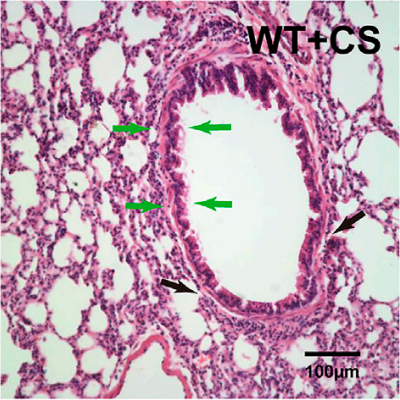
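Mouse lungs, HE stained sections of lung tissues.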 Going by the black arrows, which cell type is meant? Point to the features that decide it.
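The black arrows point to the tissue just outside the airway wall. Many small dark purple nuclei crowd the tissue around the airway. The answer: peribronchial inflammatory cells.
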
